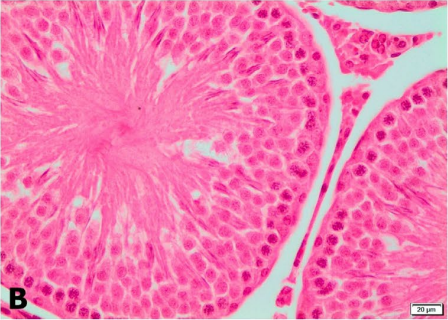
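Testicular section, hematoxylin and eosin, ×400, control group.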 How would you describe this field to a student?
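Seminiferous tubules of the testis are shown with a thick, densely packed germinal epithelium. Small cells with round, dark purple nuclei line the base of the tubule, and layers of larger cells with round nuclei lie above them. Toward the centre, slender cells and pink cytoplasmic strands converge radially on a narrow lumen. Thin strips of interstitium with flattened cells separate the neighbouring tubules.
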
